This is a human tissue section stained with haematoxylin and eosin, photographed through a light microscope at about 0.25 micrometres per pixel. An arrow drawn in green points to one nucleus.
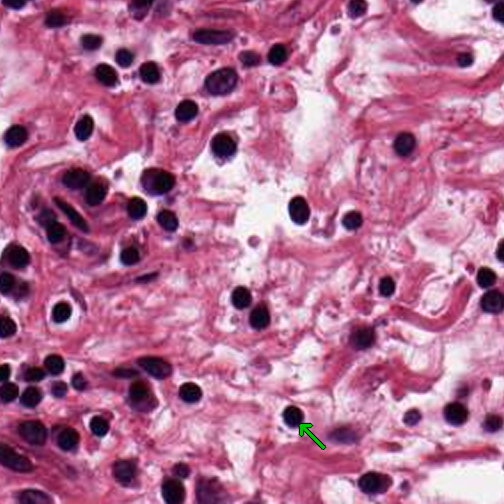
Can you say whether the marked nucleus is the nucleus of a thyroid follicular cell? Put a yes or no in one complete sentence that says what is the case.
No, the cell bearing the marked nucleus is not a thyroid follicular cell but a supporting cell.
